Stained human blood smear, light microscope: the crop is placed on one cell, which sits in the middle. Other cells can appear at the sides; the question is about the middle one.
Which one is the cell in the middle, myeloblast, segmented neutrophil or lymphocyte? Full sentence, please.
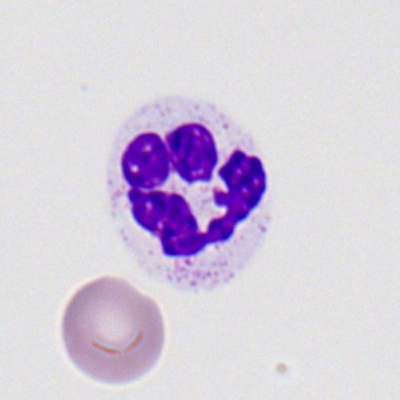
The crop's centre is taken up by a segmented neutrophil.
